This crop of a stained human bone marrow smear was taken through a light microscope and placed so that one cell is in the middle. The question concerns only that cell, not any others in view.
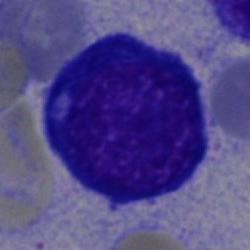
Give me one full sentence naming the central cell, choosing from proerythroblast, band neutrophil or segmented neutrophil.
The cell found in the middle of this crop is a proerythroblast.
